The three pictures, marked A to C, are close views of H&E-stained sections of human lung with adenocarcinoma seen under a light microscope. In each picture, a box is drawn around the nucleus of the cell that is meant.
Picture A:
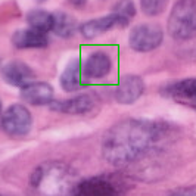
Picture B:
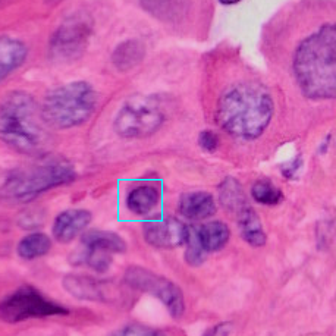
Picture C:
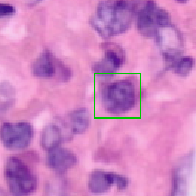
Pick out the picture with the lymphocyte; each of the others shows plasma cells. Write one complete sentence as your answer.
The picture with the lymphocyte is A.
